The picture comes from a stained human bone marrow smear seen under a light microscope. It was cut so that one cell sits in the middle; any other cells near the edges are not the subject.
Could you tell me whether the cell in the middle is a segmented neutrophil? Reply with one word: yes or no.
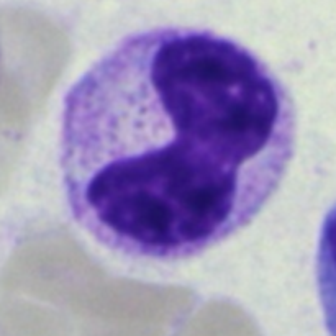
no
